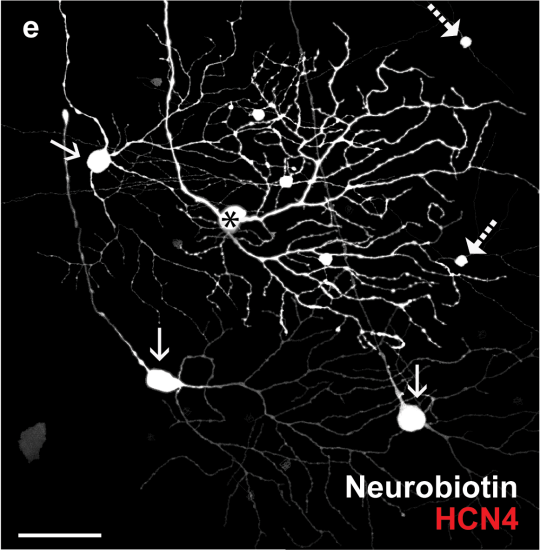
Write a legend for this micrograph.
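A tracer-filled retinal ganglion cell in face view, its cell body giving off thick dendrites that branch into a dense, wide arbor of thinner processes. Several large tracer-filled cell bodies with thick processes lie at the margins of the arbor, and small round bright cell bodies are scattered among the dendrites.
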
